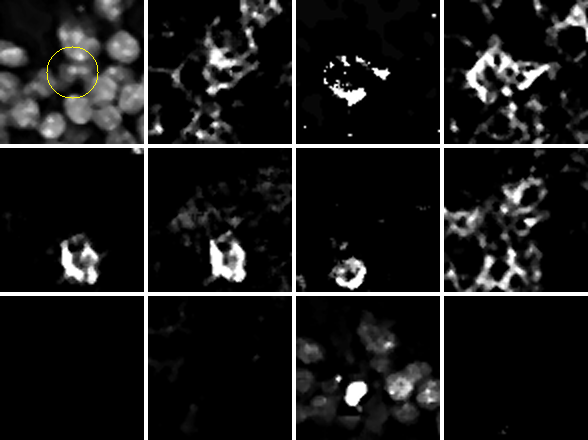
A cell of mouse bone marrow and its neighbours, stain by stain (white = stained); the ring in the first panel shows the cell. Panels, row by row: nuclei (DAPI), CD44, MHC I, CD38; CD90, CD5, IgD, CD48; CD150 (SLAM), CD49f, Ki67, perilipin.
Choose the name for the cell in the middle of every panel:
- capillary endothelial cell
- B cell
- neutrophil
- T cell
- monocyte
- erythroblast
monocyte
